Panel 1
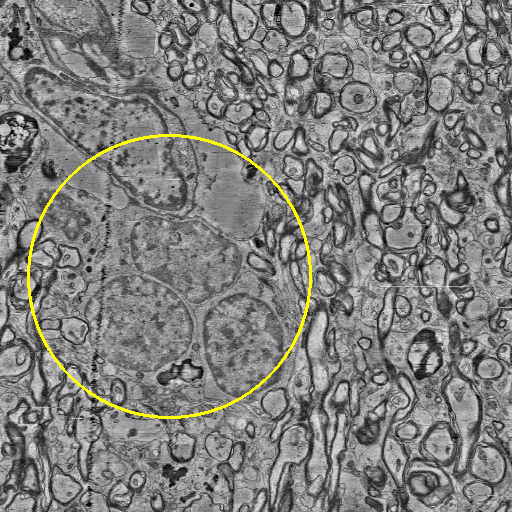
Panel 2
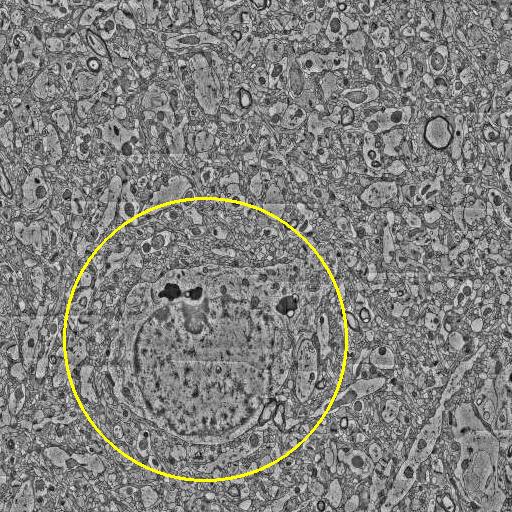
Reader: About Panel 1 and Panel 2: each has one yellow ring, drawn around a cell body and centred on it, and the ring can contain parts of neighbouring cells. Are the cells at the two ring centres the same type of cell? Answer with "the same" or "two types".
two types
